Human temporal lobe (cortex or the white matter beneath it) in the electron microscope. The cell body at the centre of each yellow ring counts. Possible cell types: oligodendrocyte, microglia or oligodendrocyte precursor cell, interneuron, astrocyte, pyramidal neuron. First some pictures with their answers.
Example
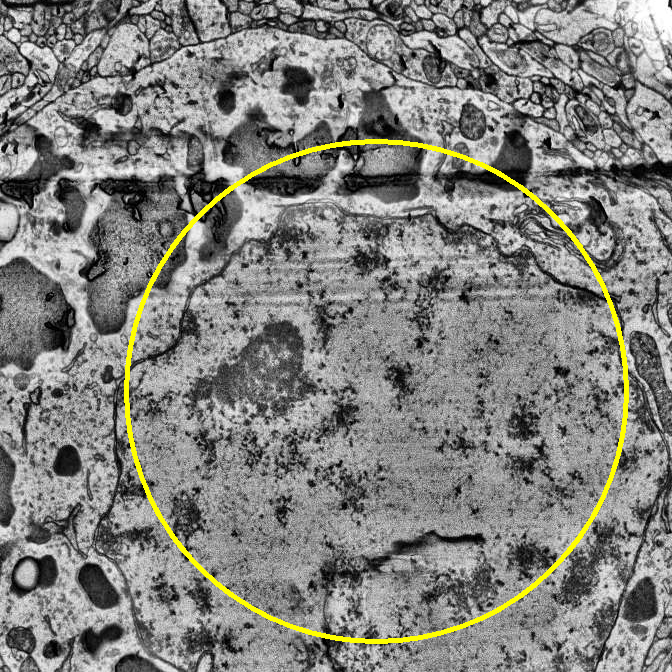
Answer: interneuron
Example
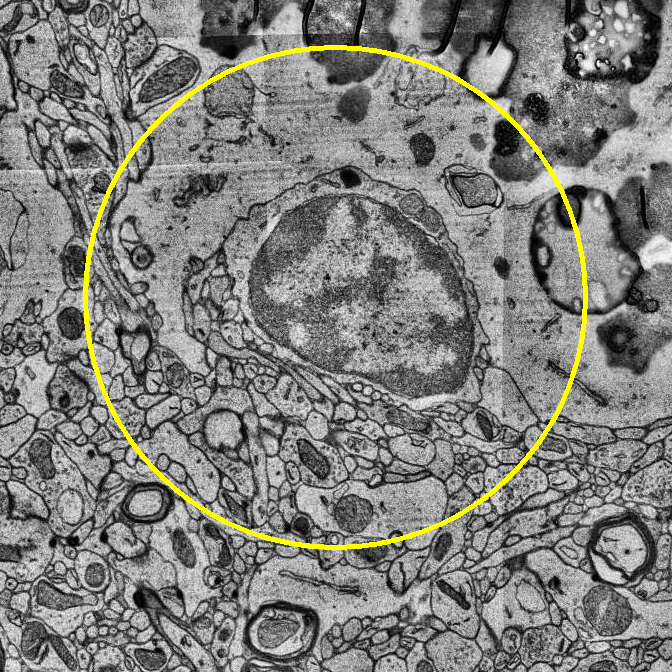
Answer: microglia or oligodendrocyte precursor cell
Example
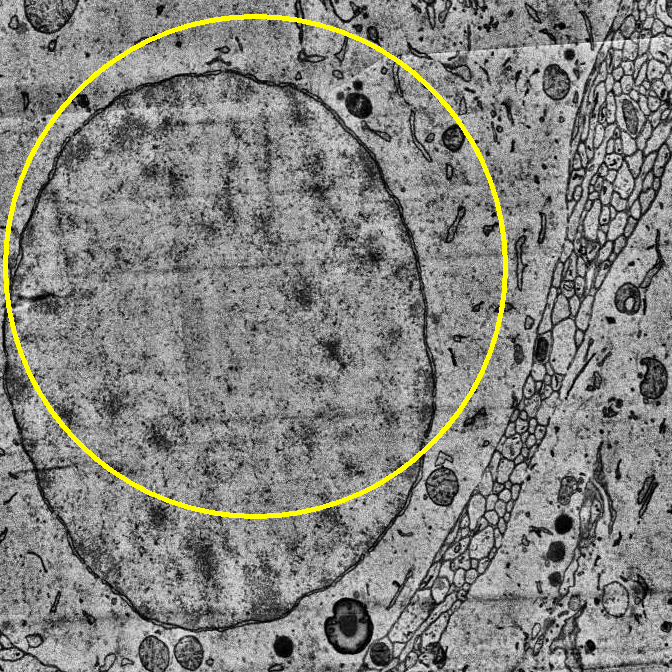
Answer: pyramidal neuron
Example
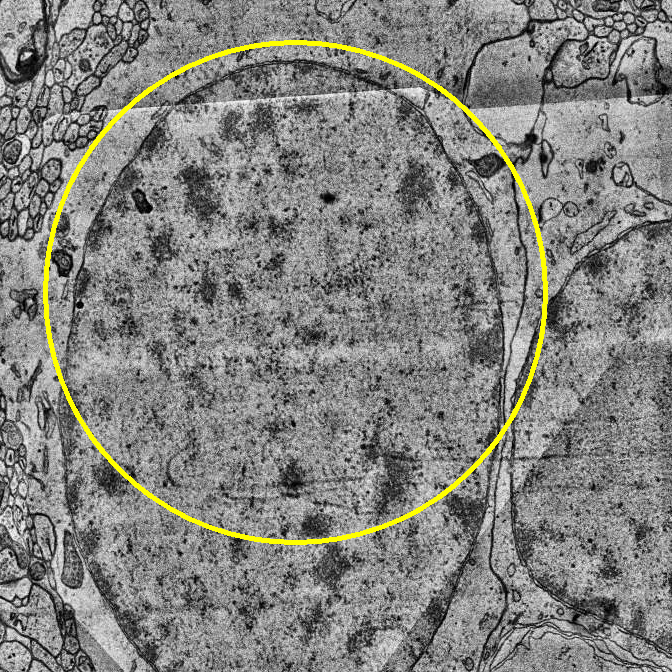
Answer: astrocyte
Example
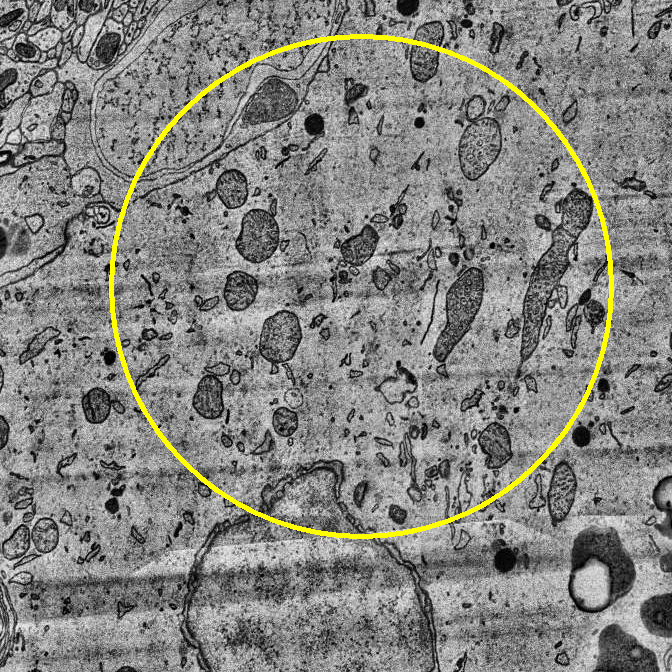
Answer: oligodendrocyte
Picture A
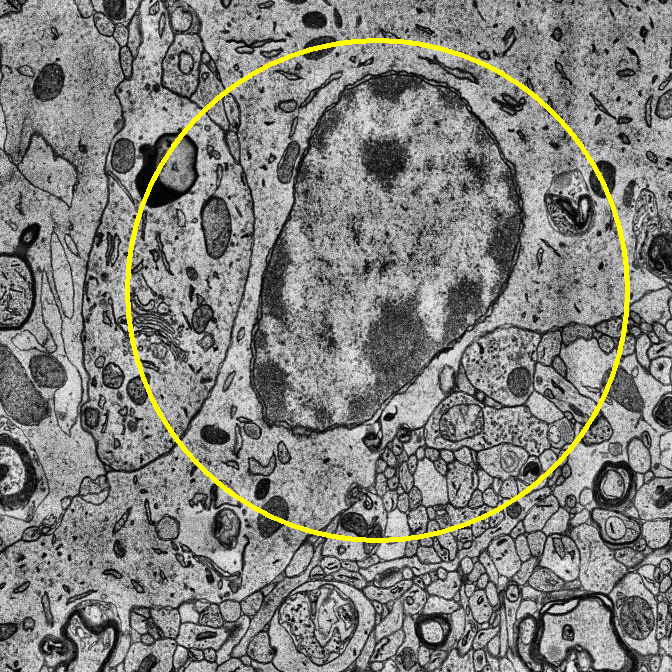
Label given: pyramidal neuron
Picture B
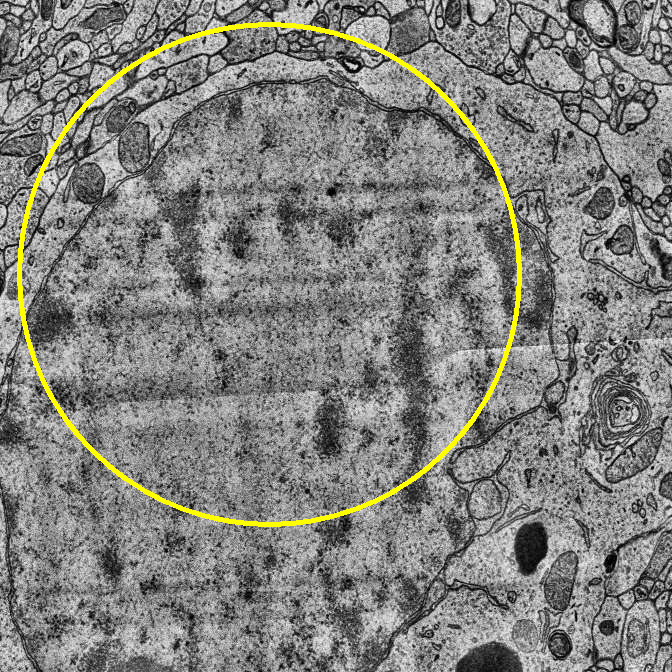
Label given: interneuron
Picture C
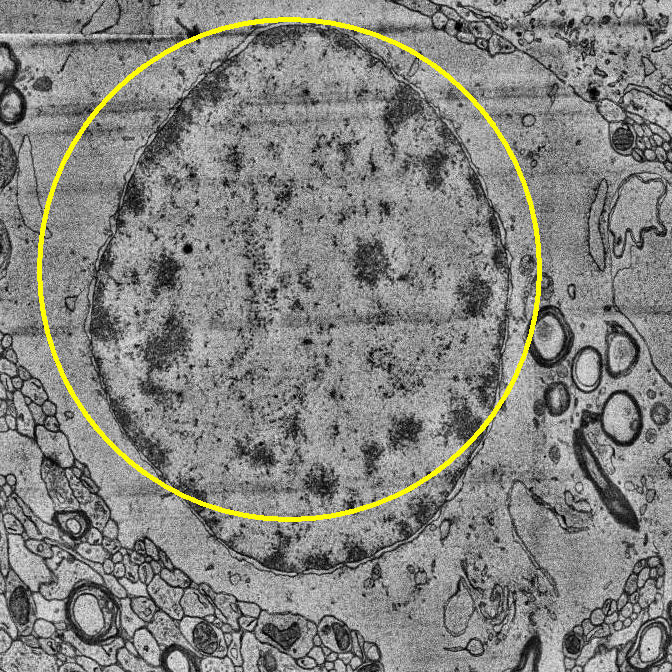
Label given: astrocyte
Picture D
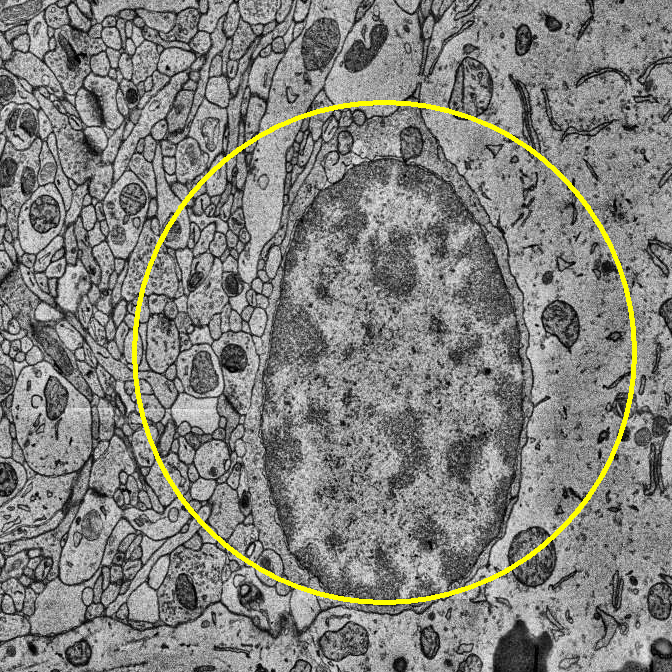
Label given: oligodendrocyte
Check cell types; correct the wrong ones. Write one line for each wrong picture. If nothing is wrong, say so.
A is labelled pyramidal neuron; correct label: microglia or oligodendrocyte precursor cell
